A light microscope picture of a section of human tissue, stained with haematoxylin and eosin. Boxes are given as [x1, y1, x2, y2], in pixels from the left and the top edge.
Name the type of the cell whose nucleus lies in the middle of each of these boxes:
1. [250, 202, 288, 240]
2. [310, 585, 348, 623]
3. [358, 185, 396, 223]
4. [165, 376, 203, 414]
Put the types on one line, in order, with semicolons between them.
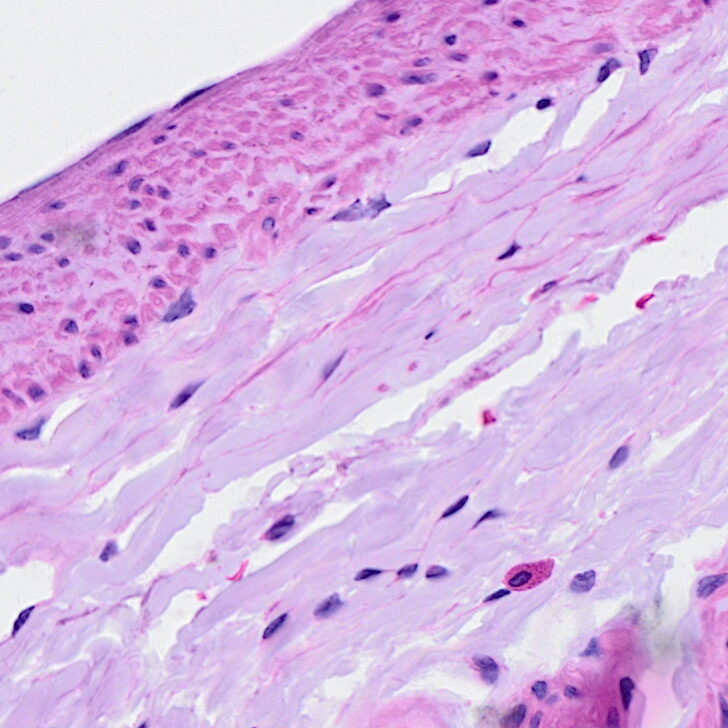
smooth muscle cell; fibroblast; fibroblast; fibroblast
